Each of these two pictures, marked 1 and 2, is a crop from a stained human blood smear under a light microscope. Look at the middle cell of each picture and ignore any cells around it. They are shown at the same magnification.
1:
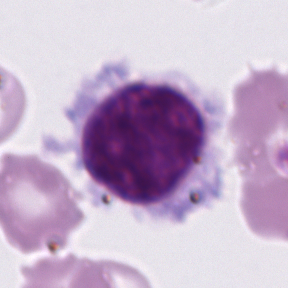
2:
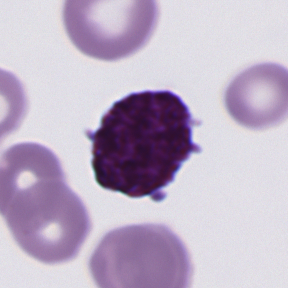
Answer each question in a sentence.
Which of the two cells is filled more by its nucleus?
Of the two, the nucleus in picture 2 makes up the greater part of its cell.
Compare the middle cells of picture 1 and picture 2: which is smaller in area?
It is the cell in picture 2; the cell in picture 1 has about 2 times its area.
